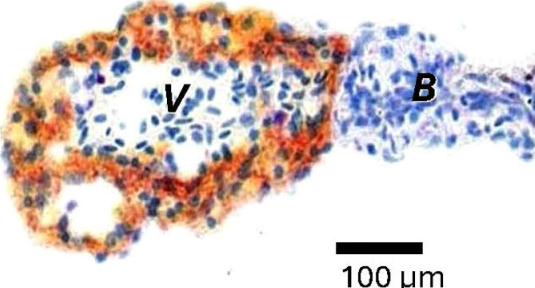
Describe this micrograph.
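The ventricular wall is a thick ring of cells with round to oval blue nuclei set in deep orange-brown stained cytoplasm, enclosing a lumen with scattered cells. The attached bulbus is a compact mass of densely packed blue nuclei with no orange-brown stain.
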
